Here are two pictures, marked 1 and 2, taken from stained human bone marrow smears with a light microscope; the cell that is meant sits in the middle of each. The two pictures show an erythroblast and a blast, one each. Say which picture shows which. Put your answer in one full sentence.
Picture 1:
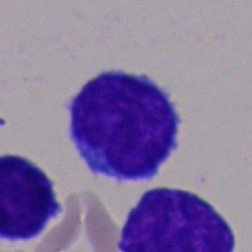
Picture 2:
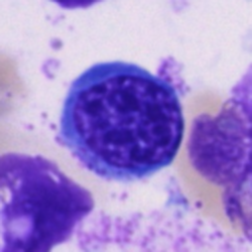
Picture 1 is of a blast, and picture 2 is of an erythroblast.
